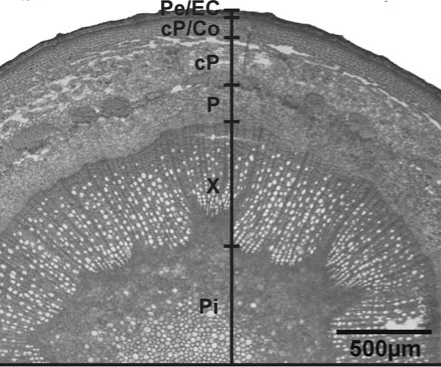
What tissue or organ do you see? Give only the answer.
Shoot.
